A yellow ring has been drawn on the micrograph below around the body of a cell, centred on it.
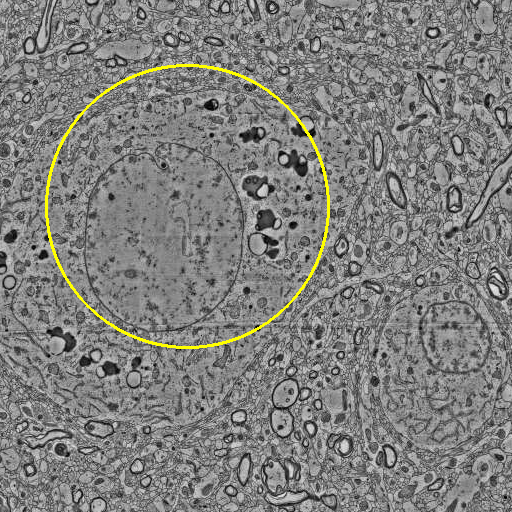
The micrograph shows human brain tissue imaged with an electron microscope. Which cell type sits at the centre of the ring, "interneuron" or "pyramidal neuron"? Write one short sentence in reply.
The cell sitting at the centre of the ring is a pyramidal neuron.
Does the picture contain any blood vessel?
No, a blood vessel is absent from this picture.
